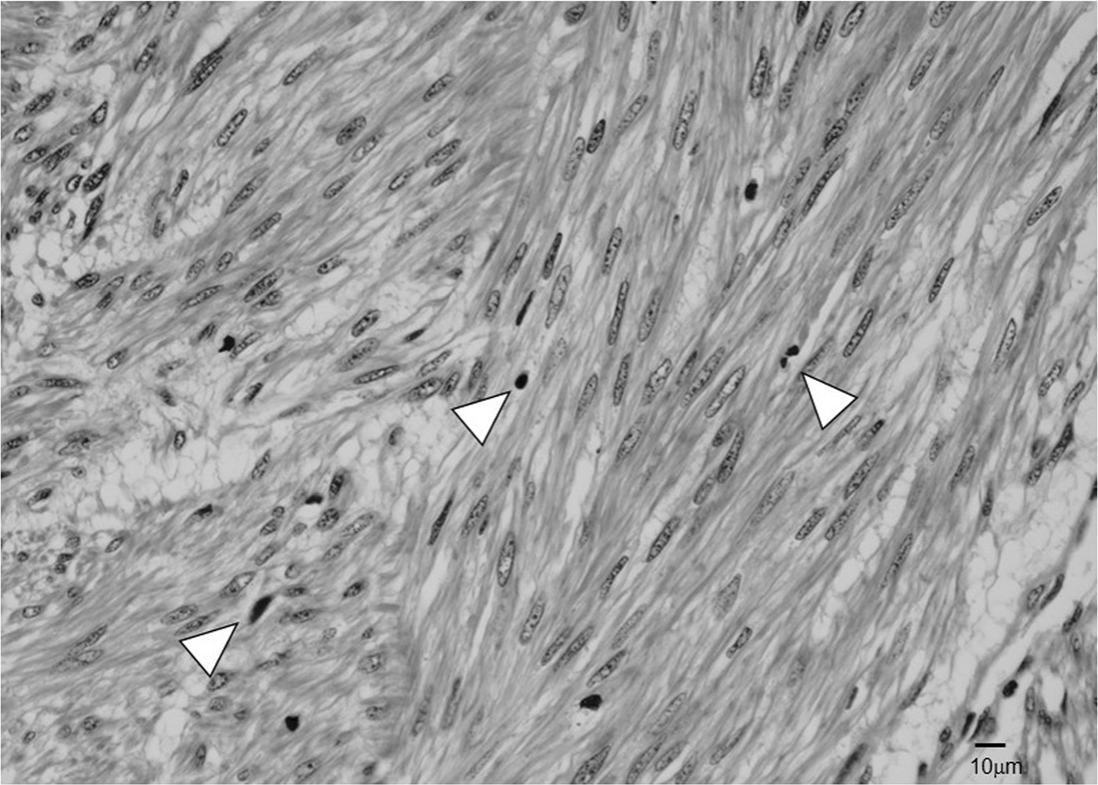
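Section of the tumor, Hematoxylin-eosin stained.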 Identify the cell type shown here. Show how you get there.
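Cells are elongated and spindle-shaped. Nuclei are cigar-shaped with rounded, blunt ends rather than pointed tips. Nuclei lie parallel to the long axis of the cells. The answer: spindle cells with blunt ended non-tapering nuclei.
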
